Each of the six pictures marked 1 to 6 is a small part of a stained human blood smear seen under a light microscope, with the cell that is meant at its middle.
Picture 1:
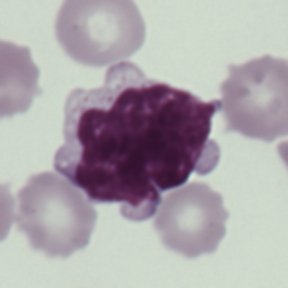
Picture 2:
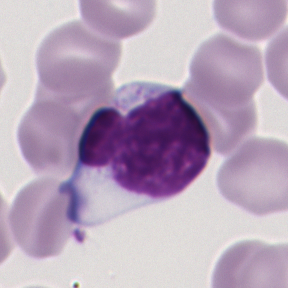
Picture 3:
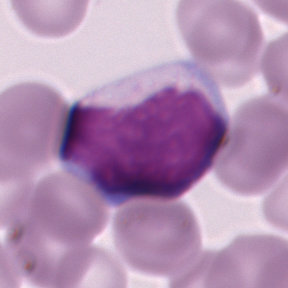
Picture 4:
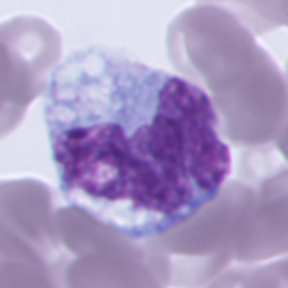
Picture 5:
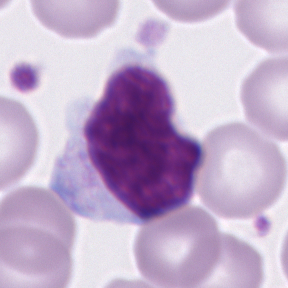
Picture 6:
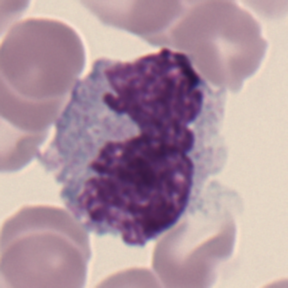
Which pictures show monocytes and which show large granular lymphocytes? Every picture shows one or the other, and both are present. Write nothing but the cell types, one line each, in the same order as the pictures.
large granular lymphocyte
large granular lymphocyte
large granular lymphocyte
monocyte
large granular lymphocyte
monocyte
